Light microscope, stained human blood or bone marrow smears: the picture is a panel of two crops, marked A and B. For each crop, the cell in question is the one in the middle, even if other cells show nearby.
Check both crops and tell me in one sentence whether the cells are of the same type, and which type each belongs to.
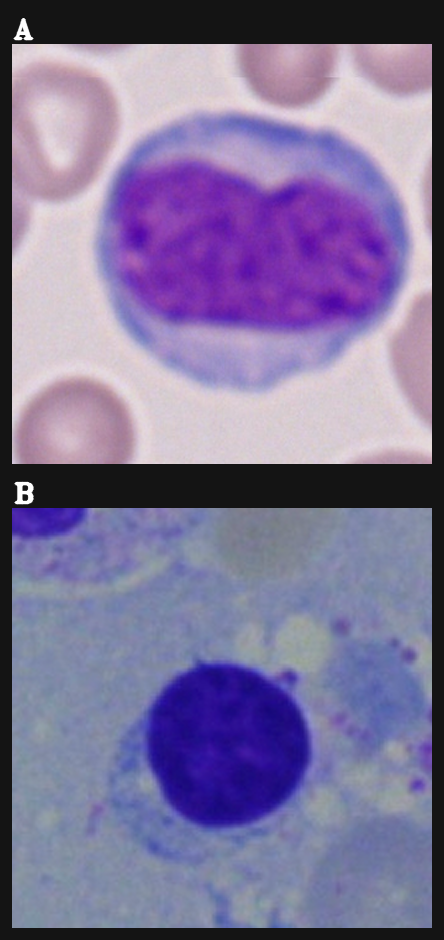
No, crop A features a monocyte, and crop B features a lymphocyte.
